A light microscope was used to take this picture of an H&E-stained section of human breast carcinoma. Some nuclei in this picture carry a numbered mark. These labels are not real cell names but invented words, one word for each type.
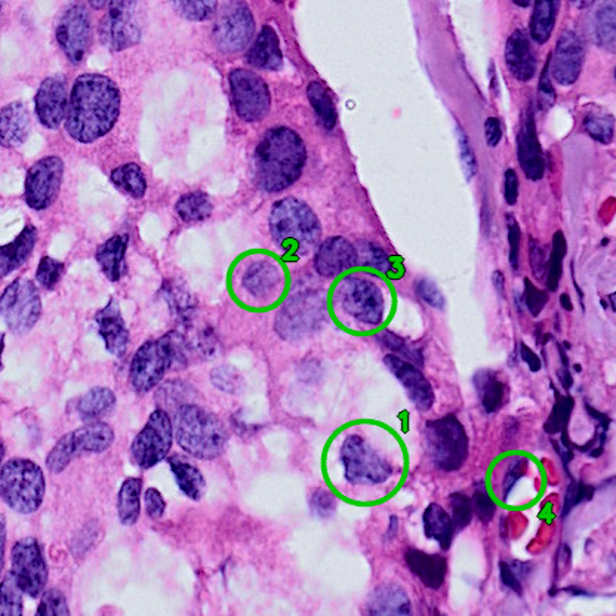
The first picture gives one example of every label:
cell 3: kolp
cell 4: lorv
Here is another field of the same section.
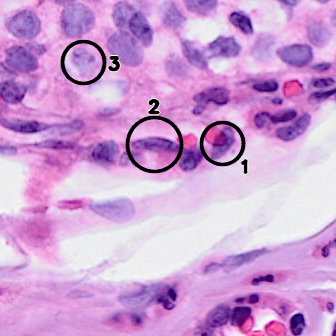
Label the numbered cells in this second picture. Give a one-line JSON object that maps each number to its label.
{"1": "lorv", "2": "lorv", "3": "kolp"}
